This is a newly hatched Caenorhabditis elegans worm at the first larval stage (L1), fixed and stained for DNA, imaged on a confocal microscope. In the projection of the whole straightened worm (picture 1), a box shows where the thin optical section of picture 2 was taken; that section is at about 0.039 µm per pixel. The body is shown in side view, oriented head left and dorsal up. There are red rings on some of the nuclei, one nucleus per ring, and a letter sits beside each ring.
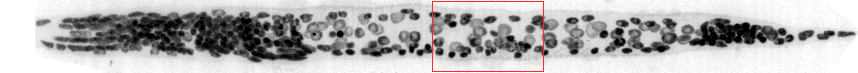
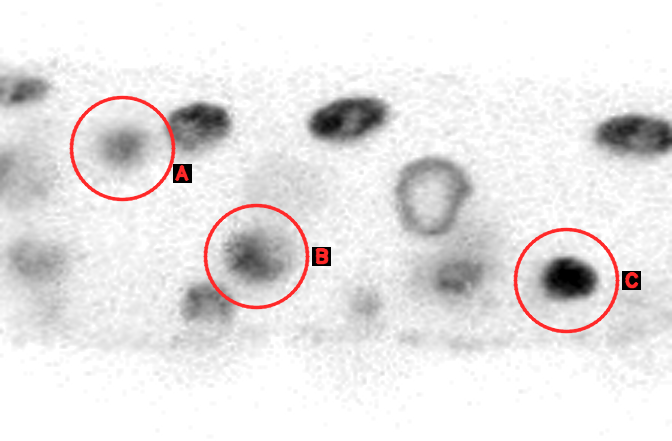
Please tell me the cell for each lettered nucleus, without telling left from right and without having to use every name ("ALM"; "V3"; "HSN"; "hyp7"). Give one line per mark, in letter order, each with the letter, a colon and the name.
A: ALM
B: V3
C: HSN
